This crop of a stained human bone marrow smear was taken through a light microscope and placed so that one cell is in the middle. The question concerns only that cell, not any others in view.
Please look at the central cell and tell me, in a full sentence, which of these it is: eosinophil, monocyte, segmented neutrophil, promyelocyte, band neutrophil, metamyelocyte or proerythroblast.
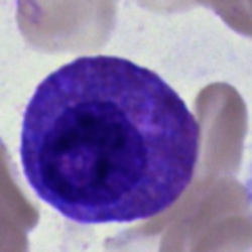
Centred in the crop is an eosinophil.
